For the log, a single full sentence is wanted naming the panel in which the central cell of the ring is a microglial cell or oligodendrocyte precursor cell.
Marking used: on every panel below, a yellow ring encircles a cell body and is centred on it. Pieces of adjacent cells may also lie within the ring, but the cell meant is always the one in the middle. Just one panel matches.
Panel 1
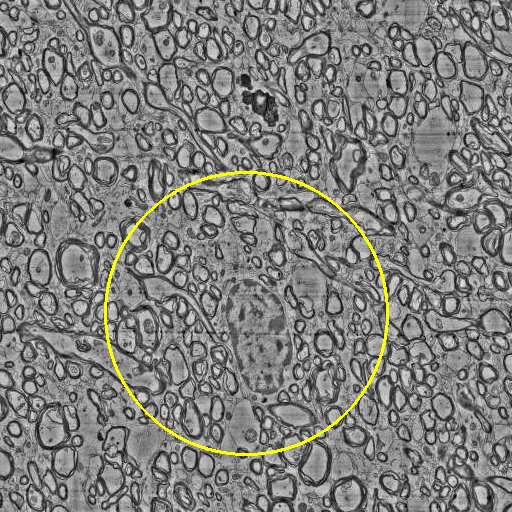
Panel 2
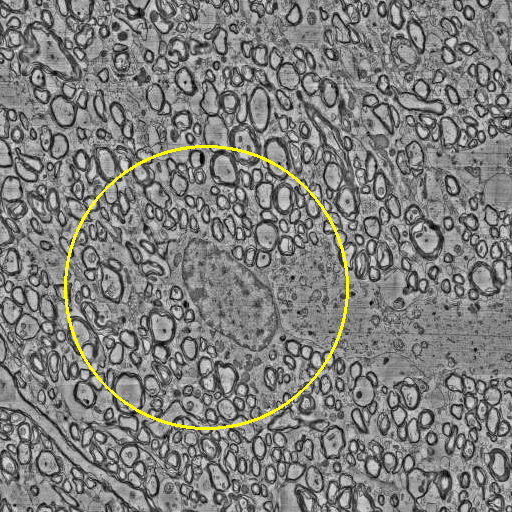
The cell in the middle of the ring in panel 1 is the one asked for.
